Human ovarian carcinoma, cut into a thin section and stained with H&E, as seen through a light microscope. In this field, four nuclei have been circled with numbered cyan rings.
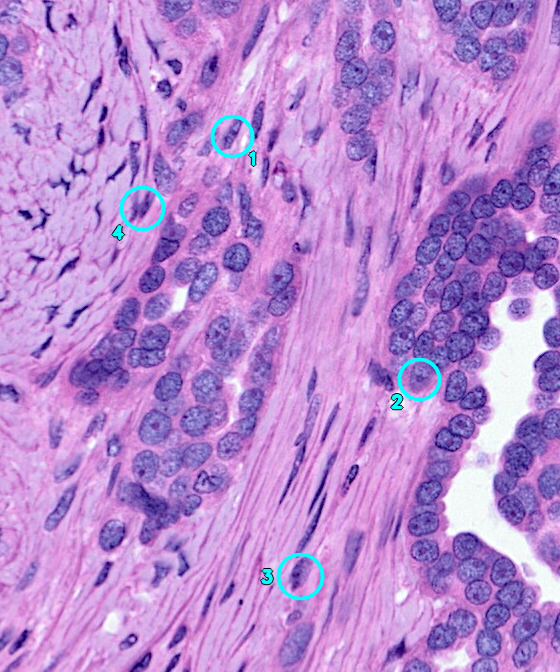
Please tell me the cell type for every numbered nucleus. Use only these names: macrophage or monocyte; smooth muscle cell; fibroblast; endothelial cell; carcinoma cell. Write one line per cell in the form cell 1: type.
cell 1: fibroblast
cell 2: carcinoma cell
cell 3: fibroblast
cell 4: fibroblast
